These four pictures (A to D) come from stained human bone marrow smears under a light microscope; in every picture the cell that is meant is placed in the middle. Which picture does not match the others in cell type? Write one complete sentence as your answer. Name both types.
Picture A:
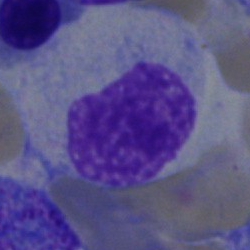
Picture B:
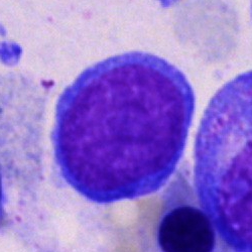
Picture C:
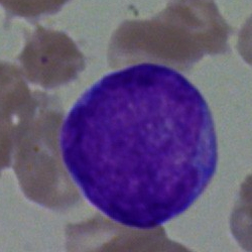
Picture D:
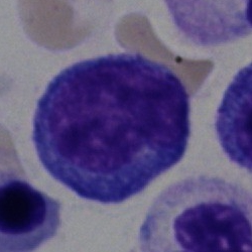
Picture A is the odd one out: it shows a myelocyte, while the others show blasts.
